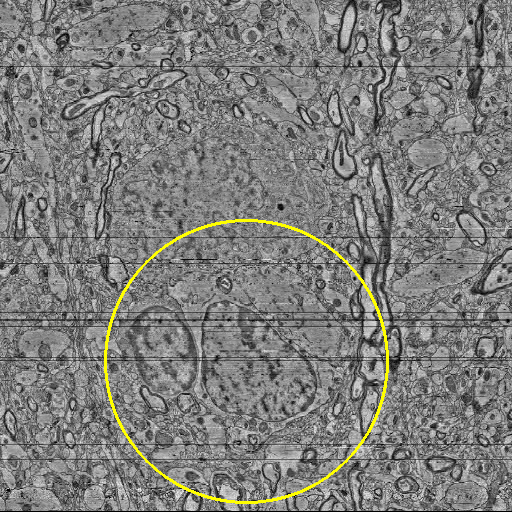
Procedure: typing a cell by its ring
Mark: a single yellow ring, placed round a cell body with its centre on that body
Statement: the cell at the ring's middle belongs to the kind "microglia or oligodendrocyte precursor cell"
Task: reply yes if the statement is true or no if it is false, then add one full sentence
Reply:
Yes, this is true: the cell at the ring's centre in the picture belongs to that kind.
